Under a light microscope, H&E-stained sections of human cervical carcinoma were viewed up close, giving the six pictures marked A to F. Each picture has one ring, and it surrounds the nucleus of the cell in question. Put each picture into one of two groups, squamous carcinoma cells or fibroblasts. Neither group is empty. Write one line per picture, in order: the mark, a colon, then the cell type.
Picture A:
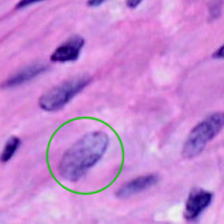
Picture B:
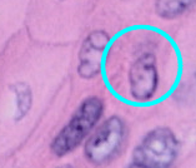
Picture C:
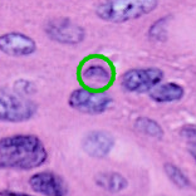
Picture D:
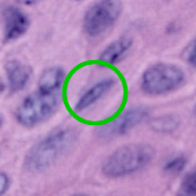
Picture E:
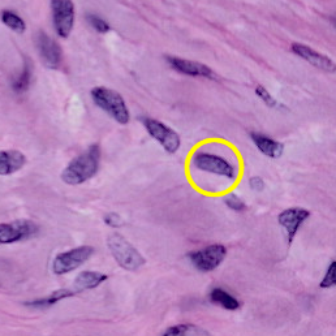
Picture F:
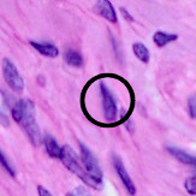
A: fibroblast
B: squamous carcinoma cell
C: squamous carcinoma cell
D: squamous carcinoma cell
E: fibroblast
F: fibroblast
